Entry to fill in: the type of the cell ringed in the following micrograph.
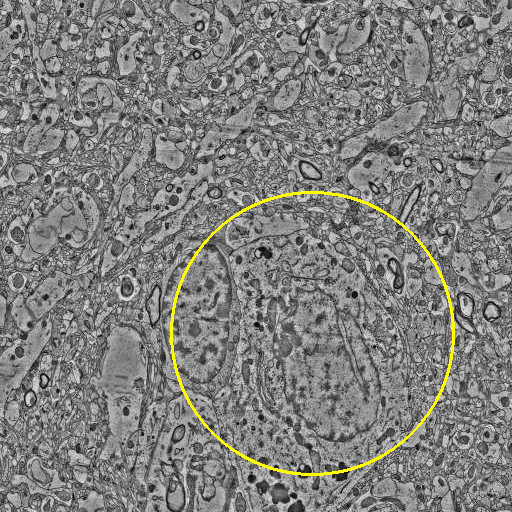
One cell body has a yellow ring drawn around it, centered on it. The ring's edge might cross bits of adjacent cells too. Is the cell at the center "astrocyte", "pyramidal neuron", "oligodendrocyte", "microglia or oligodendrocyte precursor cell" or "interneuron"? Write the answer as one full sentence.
This entry names an interneuron as the cell whose body lies at the ring's center.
